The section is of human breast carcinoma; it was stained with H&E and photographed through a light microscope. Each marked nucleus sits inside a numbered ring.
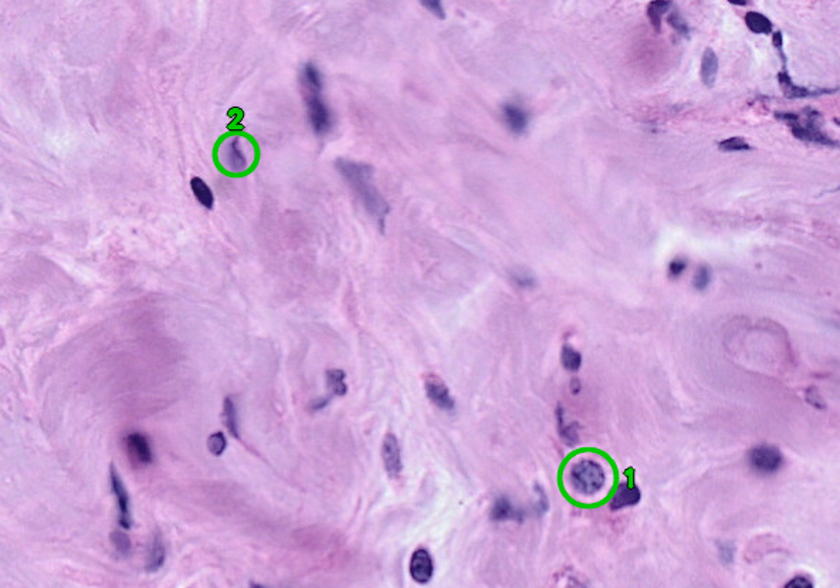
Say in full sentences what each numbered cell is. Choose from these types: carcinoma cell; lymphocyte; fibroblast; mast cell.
Cell 1 is a mast cell and cell 2 is a fibroblast.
